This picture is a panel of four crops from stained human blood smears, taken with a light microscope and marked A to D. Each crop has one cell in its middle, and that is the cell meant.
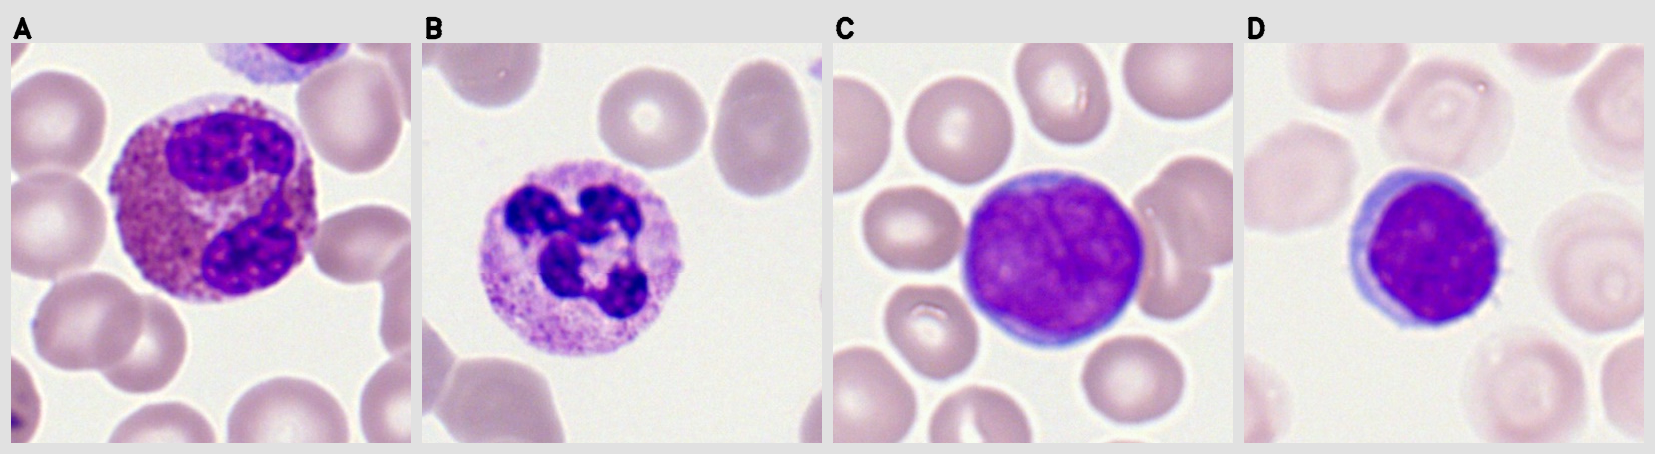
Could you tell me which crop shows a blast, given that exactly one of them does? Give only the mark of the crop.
C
